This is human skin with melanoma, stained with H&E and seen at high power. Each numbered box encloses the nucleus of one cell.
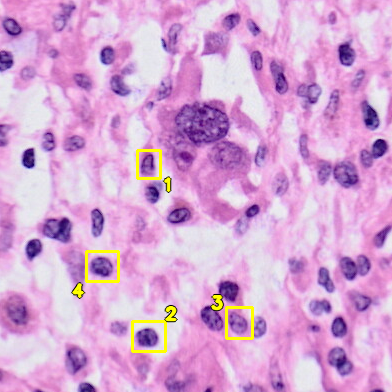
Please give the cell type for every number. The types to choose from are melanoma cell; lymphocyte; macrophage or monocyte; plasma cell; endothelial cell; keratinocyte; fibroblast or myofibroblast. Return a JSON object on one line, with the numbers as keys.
{"1": "macrophage or monocyte", "2": "lymphocyte", "3": "macrophage or monocyte", "4": "lymphocyte"}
